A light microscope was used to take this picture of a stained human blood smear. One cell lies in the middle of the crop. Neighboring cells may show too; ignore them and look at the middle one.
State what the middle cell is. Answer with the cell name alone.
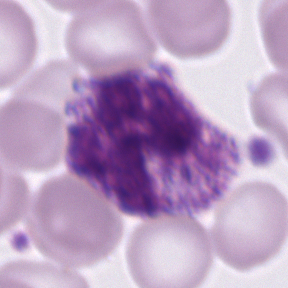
basophil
